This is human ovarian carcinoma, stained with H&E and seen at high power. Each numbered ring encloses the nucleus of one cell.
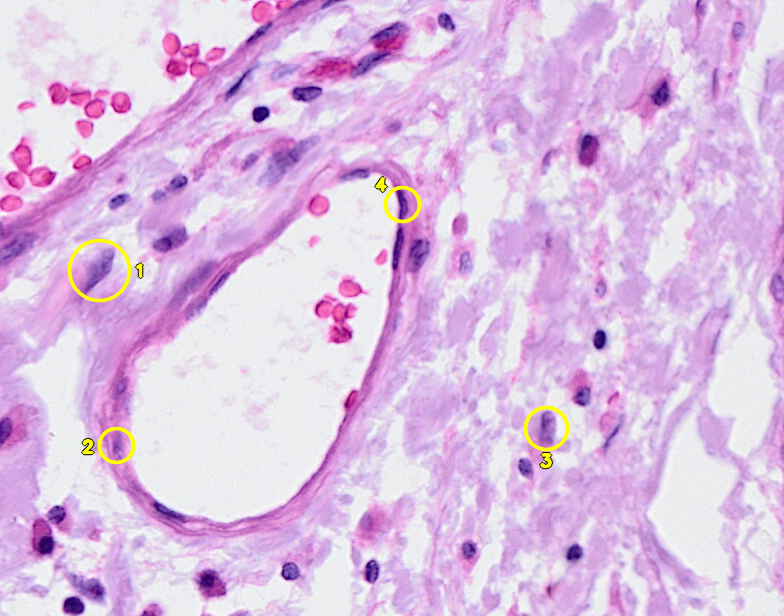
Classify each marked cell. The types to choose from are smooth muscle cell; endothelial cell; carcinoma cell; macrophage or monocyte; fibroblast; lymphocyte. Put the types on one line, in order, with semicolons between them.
fibroblast; endothelial cell; fibroblast; endothelial cell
